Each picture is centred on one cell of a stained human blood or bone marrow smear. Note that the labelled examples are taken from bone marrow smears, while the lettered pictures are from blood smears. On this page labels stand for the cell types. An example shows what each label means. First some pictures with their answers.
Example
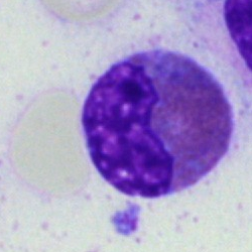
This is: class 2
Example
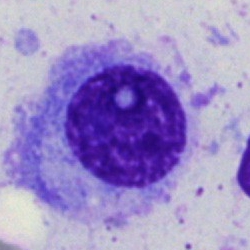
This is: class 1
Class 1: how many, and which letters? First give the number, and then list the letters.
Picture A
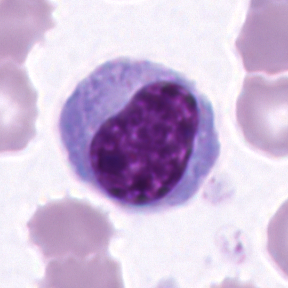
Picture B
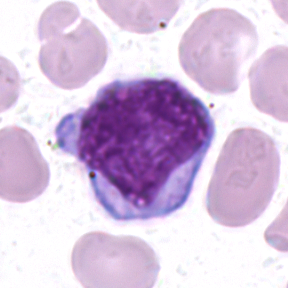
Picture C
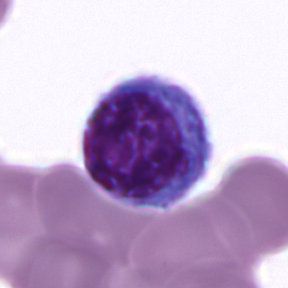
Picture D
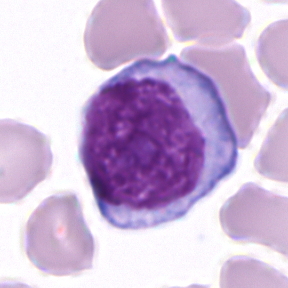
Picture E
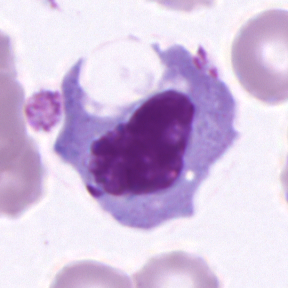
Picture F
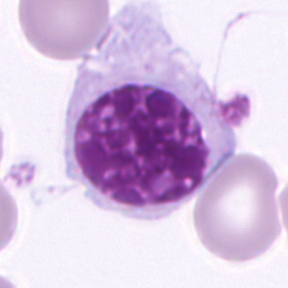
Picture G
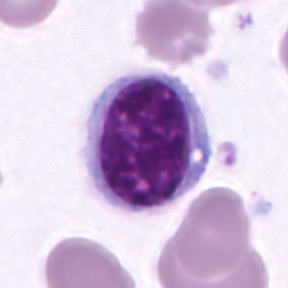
7: A, B, C, D, E, F, G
